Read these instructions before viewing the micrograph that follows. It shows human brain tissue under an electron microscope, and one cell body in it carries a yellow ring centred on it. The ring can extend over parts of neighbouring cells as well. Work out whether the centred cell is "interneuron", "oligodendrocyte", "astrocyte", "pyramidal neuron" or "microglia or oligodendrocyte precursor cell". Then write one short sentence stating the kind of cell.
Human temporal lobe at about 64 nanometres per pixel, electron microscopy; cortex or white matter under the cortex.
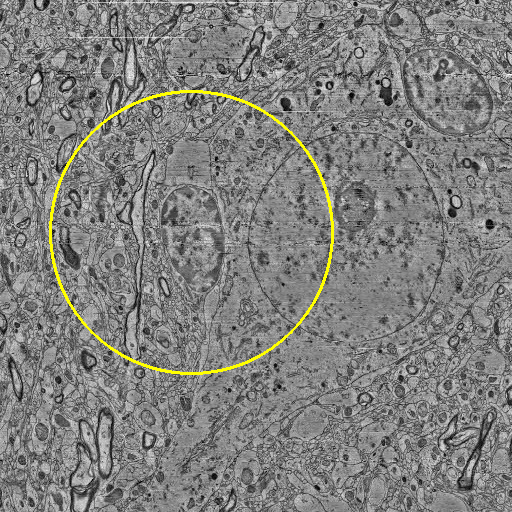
The ringed cell is a microglial cell or oligodendrocyte precursor cell.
